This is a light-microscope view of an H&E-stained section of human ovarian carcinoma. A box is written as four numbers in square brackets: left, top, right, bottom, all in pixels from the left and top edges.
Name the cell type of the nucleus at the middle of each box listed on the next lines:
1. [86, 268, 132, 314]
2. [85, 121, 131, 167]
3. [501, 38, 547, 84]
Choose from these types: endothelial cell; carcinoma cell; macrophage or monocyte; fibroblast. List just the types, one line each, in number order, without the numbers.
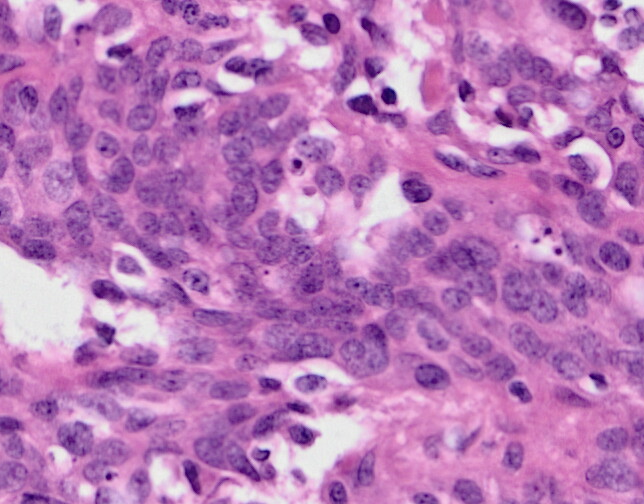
carcinoma cell
macrophage or monocyte
carcinoma cell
